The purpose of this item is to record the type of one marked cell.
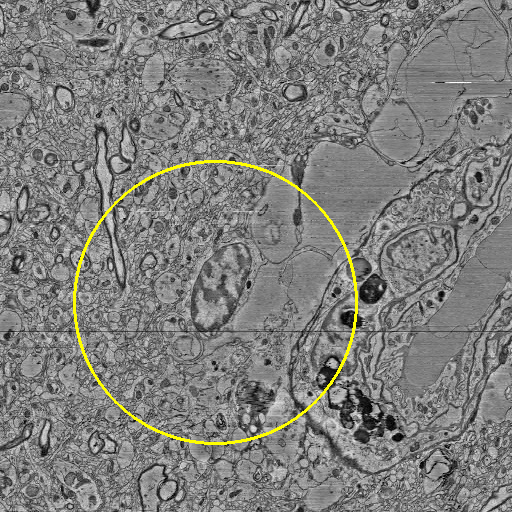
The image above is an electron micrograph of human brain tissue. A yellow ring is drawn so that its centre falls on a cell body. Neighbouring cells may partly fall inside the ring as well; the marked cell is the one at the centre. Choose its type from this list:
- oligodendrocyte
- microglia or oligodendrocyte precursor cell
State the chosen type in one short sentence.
What the ring marks here is a microglial cell or oligodendrocyte precursor cell.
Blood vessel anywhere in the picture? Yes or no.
Yes, one appears.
